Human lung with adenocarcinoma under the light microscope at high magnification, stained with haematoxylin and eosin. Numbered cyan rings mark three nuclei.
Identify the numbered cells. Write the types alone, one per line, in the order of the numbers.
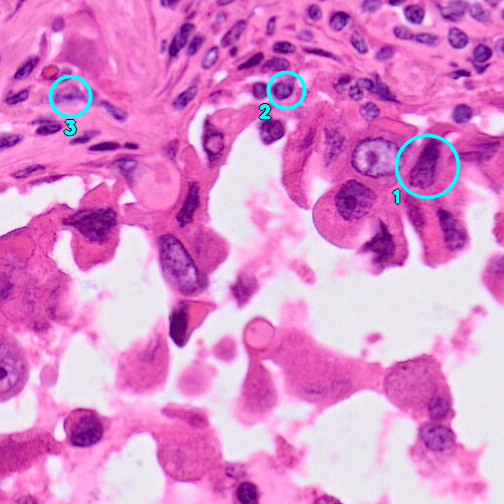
carcinoma cell
lymphocyte
fibroblast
